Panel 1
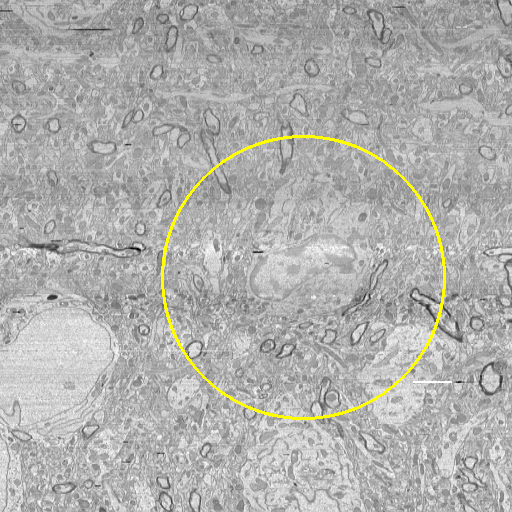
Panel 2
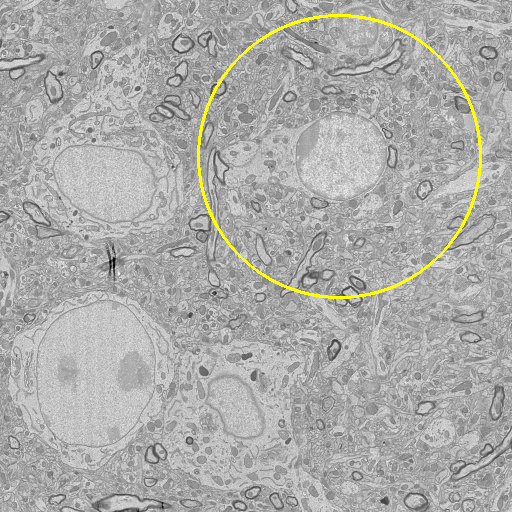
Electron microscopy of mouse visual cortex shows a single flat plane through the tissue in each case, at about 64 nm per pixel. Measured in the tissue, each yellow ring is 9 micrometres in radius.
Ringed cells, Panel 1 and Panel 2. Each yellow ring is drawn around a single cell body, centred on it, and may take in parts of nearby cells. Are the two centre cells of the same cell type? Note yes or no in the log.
yes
